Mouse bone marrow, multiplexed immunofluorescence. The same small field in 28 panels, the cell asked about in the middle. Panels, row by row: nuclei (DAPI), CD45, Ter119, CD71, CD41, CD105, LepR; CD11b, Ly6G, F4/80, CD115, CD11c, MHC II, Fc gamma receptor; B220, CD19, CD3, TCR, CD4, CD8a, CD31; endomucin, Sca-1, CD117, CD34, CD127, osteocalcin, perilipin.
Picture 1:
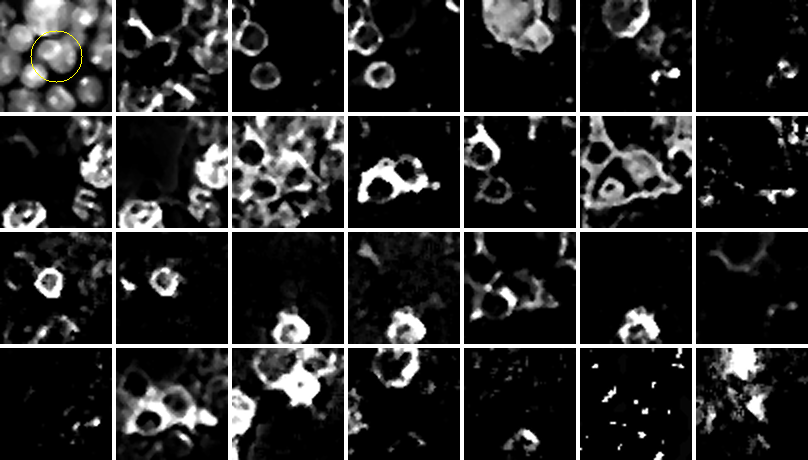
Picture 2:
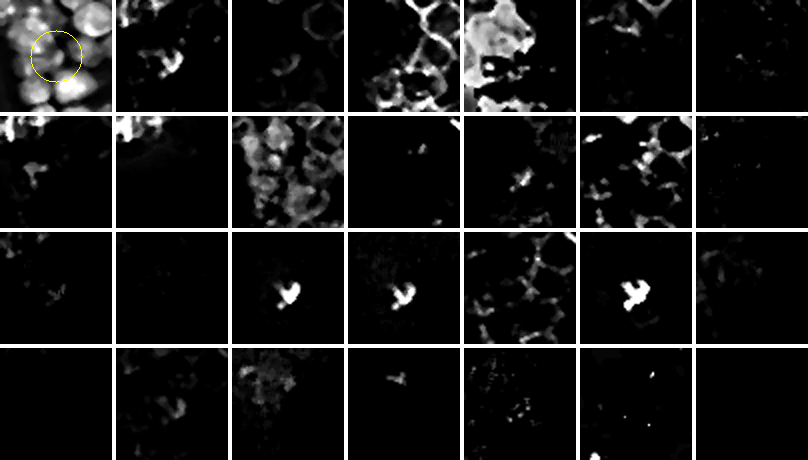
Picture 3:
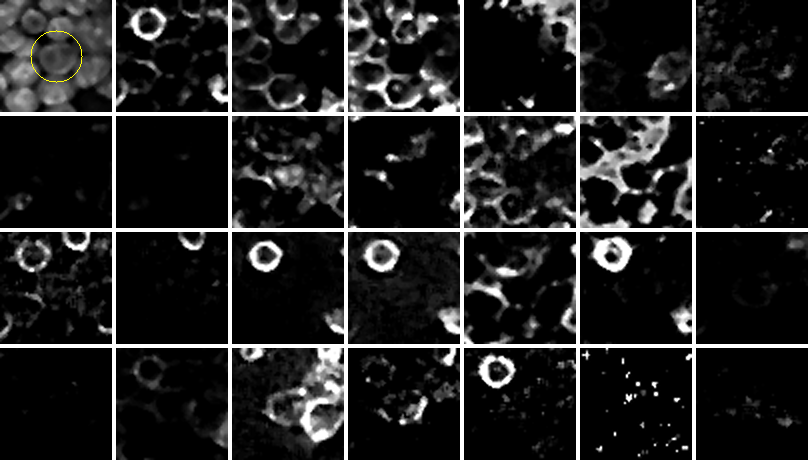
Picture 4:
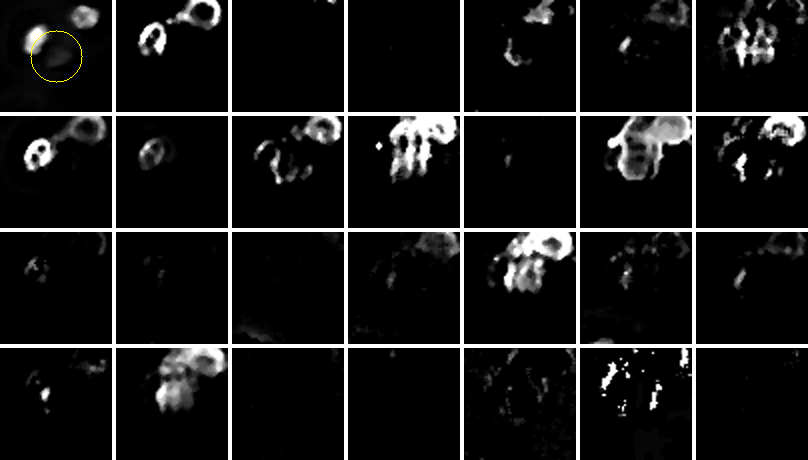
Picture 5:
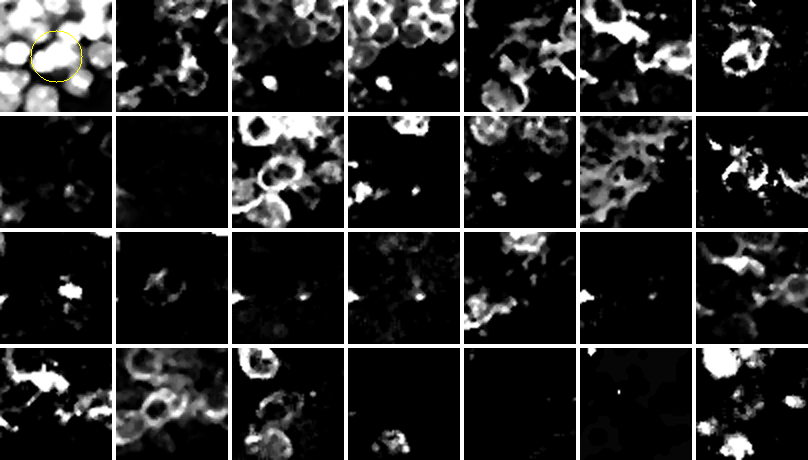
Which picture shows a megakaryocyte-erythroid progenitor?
Picture 3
